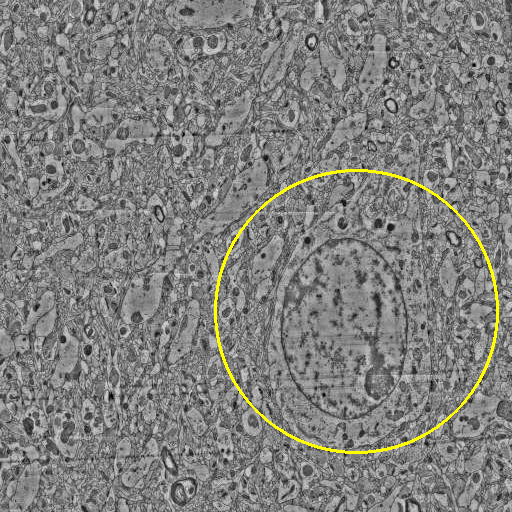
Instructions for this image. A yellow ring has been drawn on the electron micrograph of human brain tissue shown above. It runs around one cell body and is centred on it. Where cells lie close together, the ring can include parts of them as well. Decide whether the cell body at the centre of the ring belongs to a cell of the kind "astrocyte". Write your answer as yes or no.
no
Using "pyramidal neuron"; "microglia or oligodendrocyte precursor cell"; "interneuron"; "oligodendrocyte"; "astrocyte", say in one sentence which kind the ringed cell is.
The ringed cell in this picture is, instead, a pyramidal neuron.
